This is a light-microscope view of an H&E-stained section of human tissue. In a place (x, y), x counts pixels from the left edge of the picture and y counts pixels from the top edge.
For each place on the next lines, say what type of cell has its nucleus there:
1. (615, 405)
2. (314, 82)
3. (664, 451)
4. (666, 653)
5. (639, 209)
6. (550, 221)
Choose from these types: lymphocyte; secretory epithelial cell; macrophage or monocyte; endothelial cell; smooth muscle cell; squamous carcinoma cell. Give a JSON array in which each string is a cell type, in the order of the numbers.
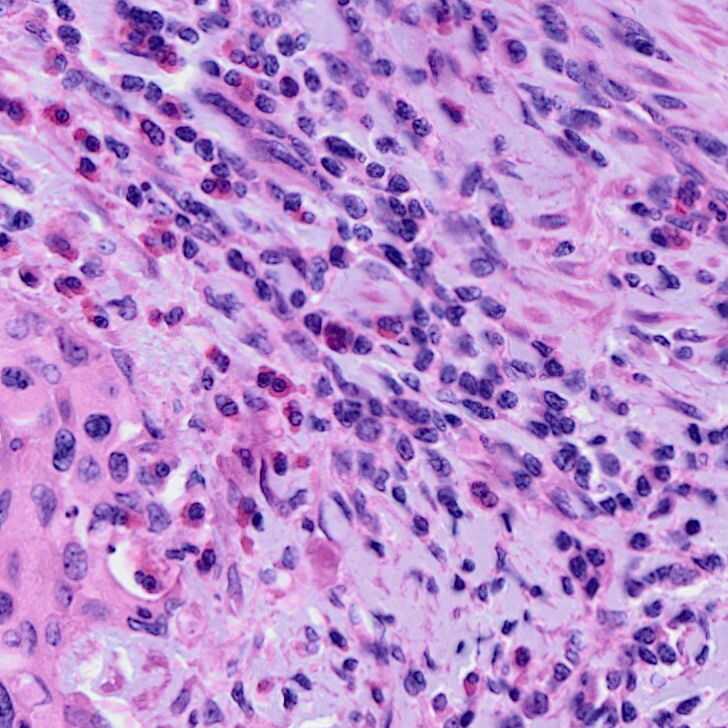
["macrophage or monocyte", "lymphocyte", "lymphocyte", "lymphocyte", "lymphocyte", "smooth muscle cell"]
